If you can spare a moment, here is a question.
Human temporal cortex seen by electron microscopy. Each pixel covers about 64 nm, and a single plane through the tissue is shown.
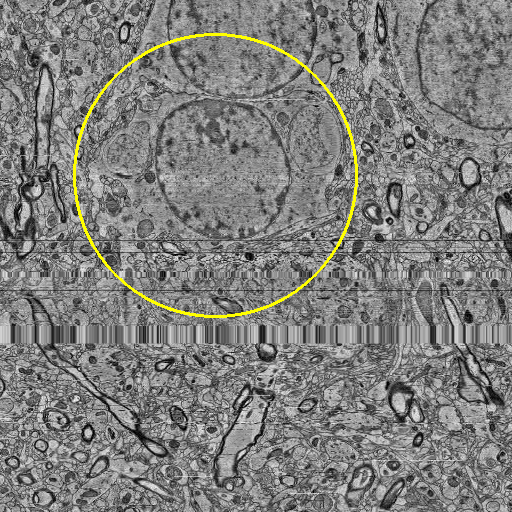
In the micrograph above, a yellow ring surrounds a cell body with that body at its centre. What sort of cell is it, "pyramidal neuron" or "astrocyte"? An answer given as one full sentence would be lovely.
Centred inside the yellow ring, the cell body shown belongs to an astrocyte in this micrograph.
